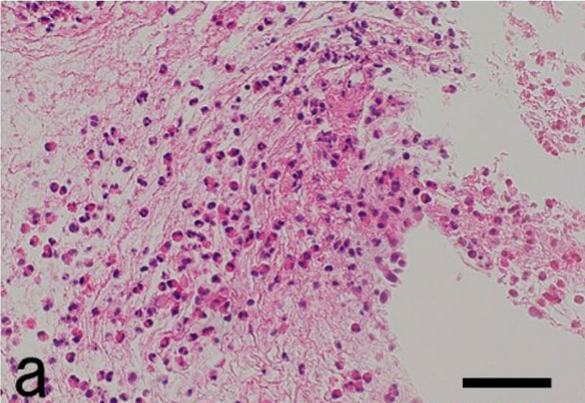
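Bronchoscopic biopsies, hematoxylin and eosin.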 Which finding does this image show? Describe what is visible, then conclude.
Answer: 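Eosinophilic infiltration. Many scattered small round cells with pink cytoplasm and dark, lobed nuclei lie in loose stroma. The infiltrating cells are spread diffusely rather than forming glands or sheets.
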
